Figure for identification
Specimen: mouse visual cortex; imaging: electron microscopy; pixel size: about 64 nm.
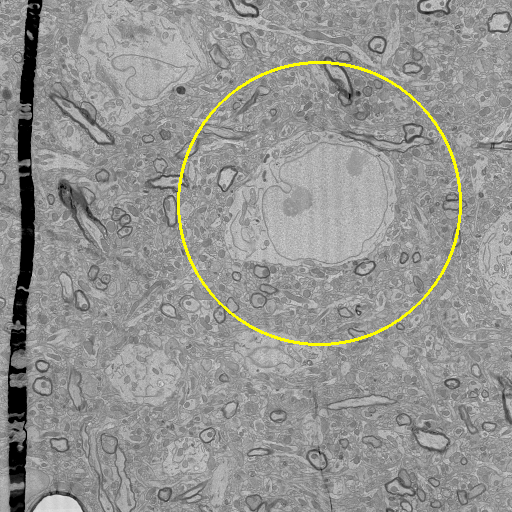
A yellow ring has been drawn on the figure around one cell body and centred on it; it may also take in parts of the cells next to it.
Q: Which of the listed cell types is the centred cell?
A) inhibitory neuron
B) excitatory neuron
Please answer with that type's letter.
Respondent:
B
